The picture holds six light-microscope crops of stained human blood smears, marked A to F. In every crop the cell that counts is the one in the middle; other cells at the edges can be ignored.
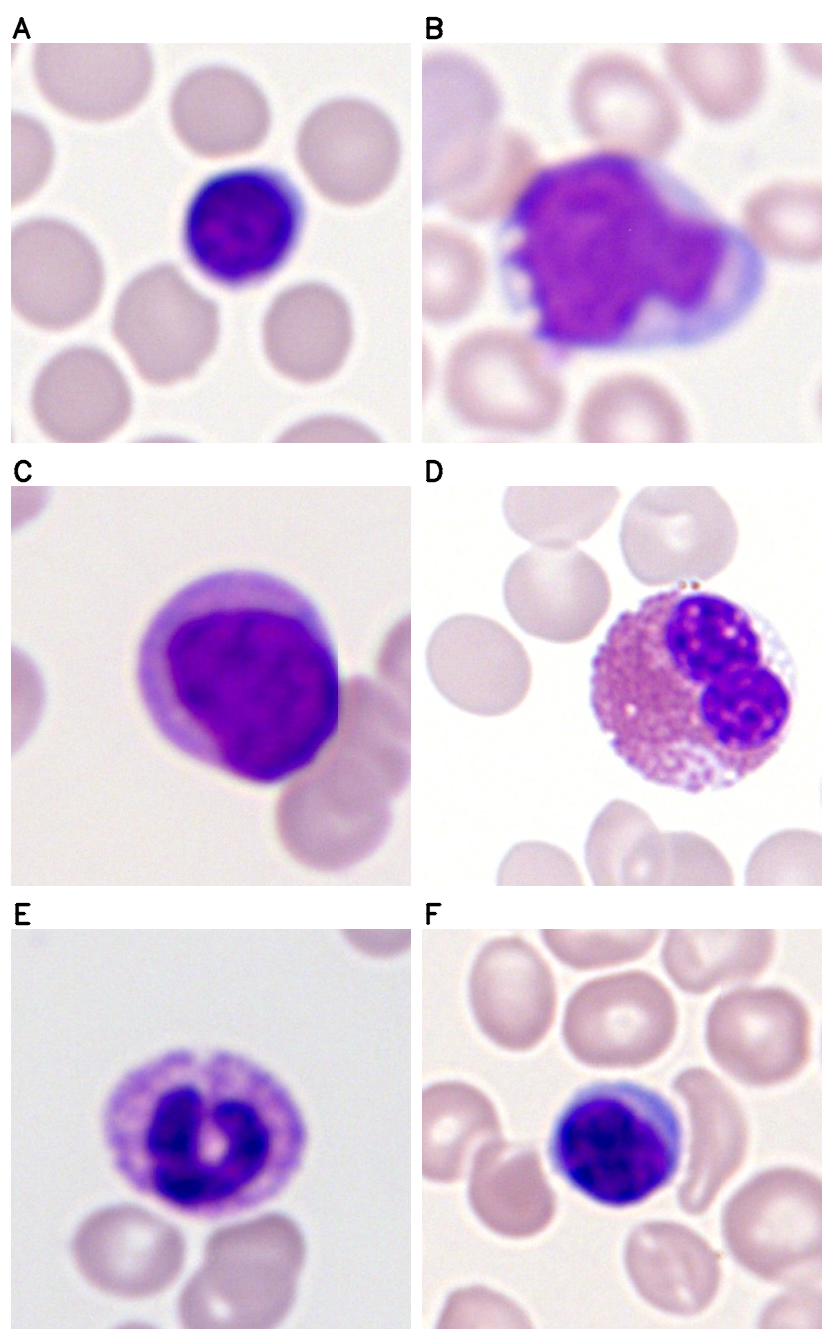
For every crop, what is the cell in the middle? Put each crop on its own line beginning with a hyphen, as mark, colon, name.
- A: lymphocyte
- B: myeloblast
- C: myeloblast
- D: eosinophil
- E: band neutrophil
- F: lymphocyte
